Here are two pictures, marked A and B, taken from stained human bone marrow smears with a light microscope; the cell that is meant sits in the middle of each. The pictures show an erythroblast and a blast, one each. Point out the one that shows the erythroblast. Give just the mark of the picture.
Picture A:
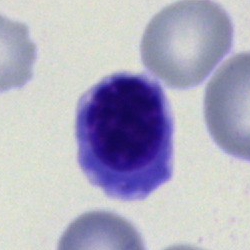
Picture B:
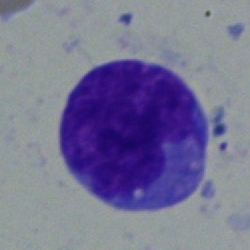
A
